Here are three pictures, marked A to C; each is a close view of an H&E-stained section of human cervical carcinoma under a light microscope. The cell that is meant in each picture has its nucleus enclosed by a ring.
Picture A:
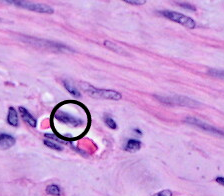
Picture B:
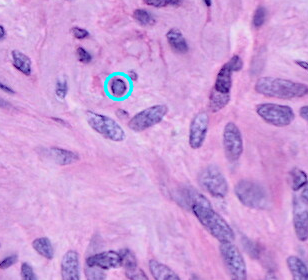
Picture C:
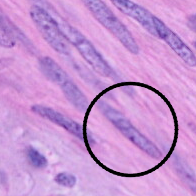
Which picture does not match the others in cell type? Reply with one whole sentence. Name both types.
All pictures except A show smooth muscle cells; picture A shows an endothelial cell.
